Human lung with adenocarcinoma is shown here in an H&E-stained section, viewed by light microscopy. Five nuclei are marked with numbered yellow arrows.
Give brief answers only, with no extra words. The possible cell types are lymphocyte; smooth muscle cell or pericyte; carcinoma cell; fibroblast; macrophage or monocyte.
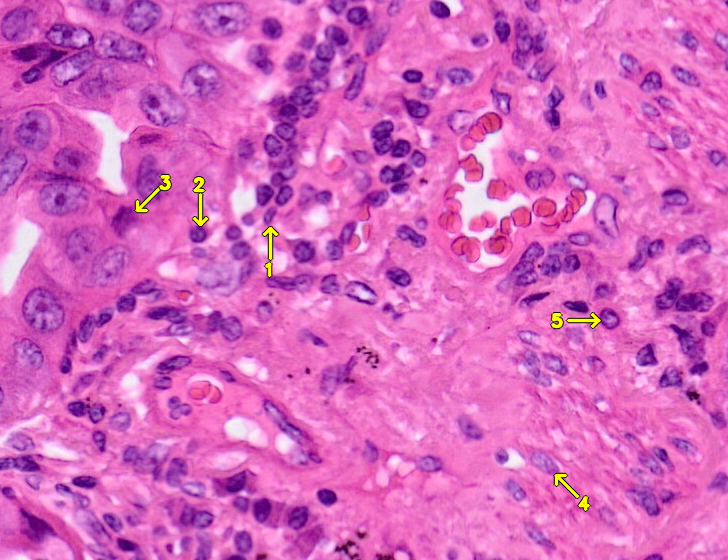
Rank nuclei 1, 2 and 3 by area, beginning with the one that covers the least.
1, 2, 3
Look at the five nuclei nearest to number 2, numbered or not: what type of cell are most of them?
fibroblast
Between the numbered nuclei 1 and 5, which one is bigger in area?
5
